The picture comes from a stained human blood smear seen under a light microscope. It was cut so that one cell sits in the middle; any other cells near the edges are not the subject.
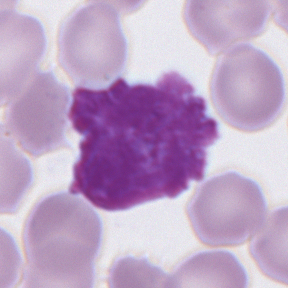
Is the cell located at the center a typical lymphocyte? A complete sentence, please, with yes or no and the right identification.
No, the cell in the centre of the crop is a smudge cell as opposed to a typical lymphocyte.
